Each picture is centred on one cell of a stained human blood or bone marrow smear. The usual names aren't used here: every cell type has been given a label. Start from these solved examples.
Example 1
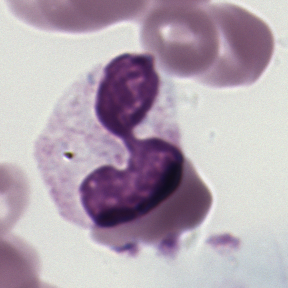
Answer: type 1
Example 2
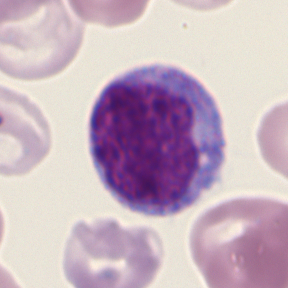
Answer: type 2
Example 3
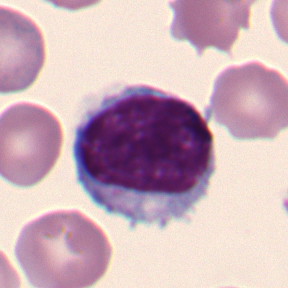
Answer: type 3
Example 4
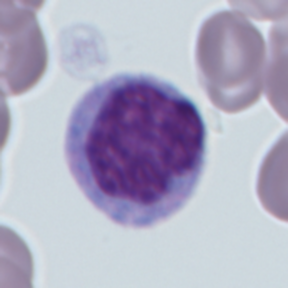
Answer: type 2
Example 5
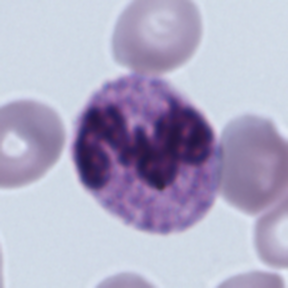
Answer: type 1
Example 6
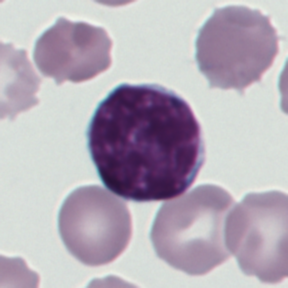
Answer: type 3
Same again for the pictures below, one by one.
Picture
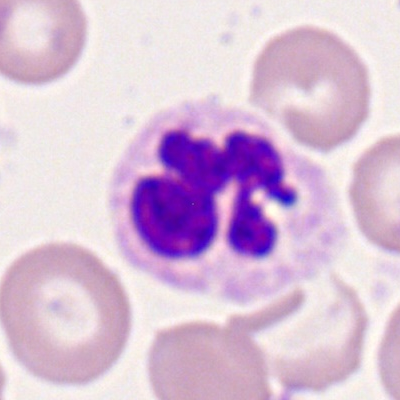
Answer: type 1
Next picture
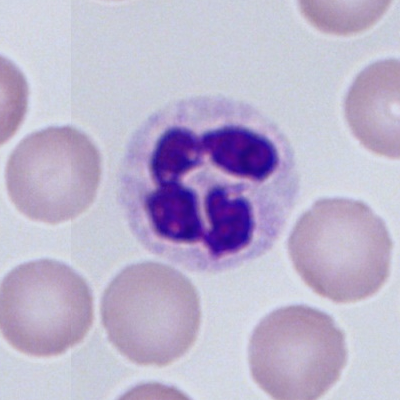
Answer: type 1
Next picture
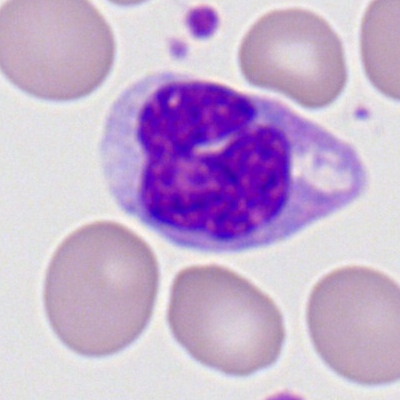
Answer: type 2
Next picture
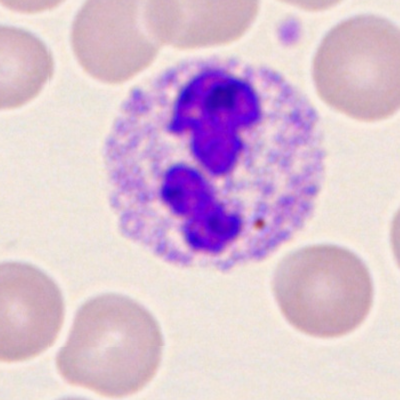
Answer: type 1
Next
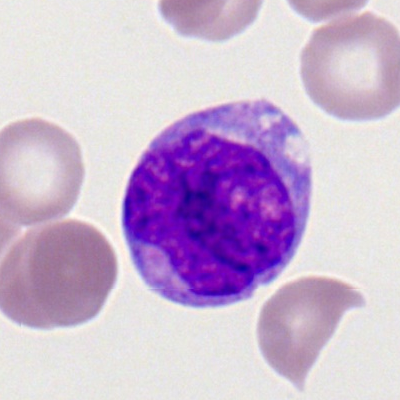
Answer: type 2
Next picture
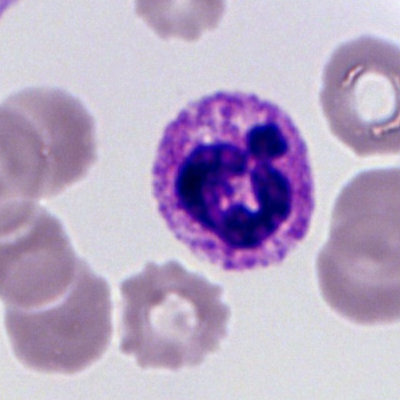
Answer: type 1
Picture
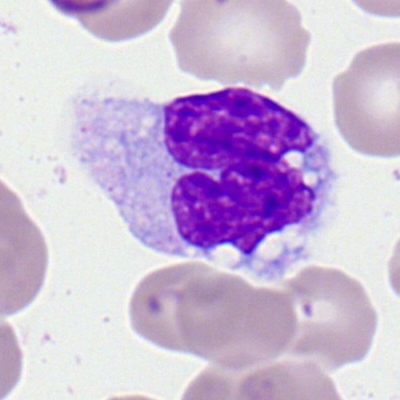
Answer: type 2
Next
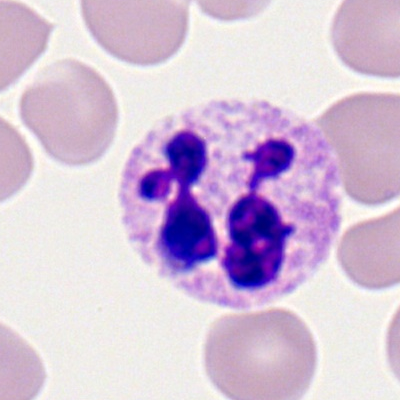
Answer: type 1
